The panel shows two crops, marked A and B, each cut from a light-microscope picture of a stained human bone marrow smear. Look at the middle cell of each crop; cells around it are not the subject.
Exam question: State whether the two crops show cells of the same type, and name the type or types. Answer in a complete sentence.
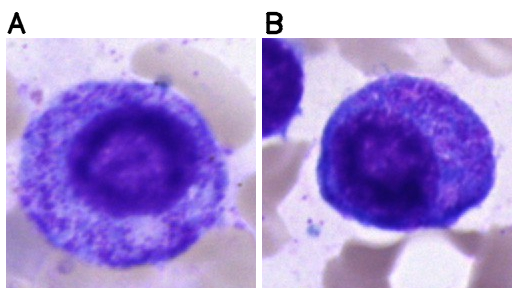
Yes, as for both crops, the cells shown are promyelocytes.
